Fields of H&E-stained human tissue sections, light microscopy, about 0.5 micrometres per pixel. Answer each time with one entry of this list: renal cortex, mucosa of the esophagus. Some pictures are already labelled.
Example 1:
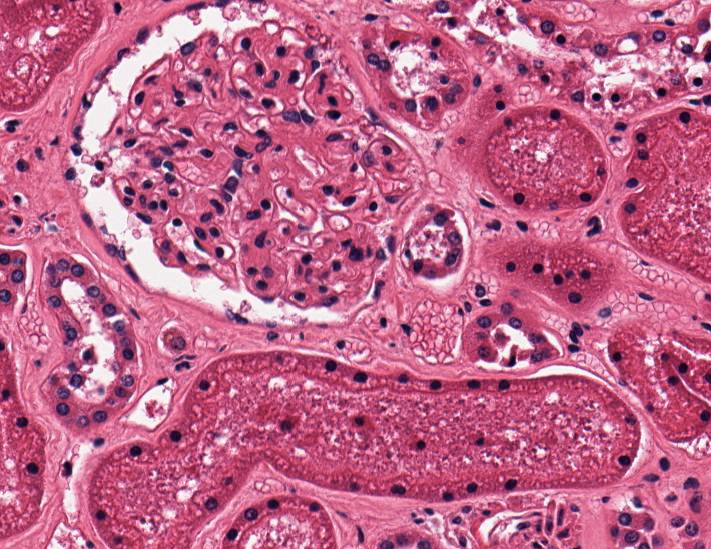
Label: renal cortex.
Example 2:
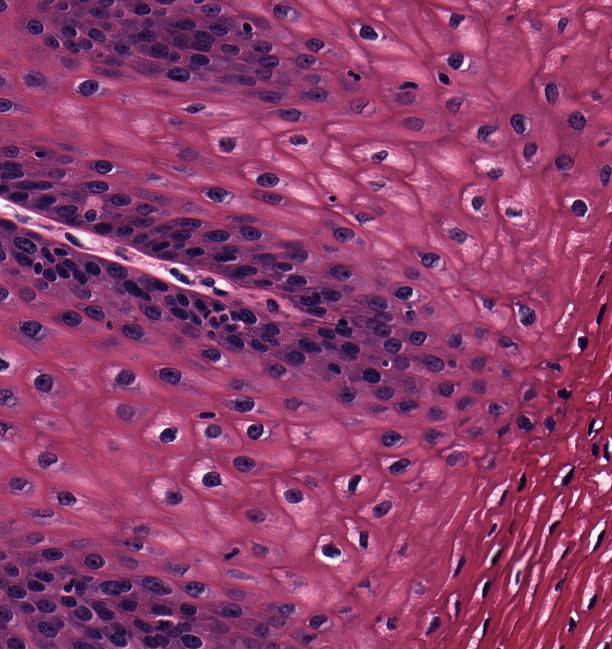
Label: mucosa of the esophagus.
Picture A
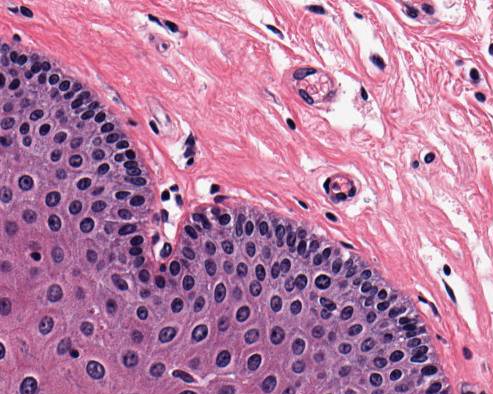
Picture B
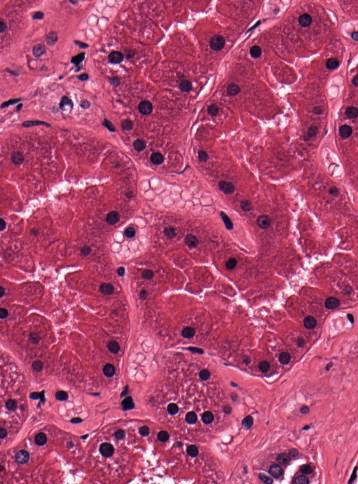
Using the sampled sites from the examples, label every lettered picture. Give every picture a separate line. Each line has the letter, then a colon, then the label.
A: mucosa of the esophagus.
B: renal cortex.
